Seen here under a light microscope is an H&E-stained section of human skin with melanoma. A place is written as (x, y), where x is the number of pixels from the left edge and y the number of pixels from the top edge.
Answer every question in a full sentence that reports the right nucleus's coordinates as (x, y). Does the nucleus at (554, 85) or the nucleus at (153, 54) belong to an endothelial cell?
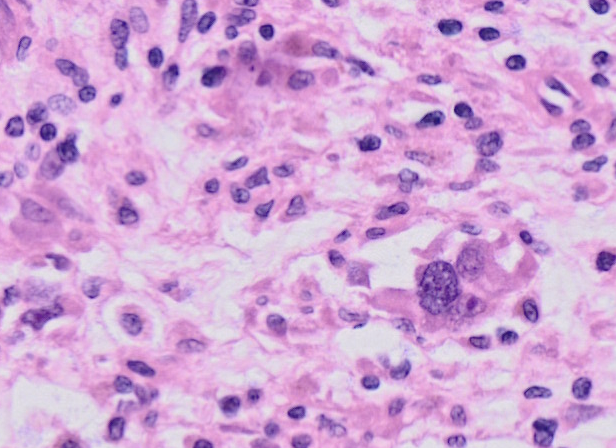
Among the two, the nucleus at (554, 85) is the nucleus of an endothelial cell.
